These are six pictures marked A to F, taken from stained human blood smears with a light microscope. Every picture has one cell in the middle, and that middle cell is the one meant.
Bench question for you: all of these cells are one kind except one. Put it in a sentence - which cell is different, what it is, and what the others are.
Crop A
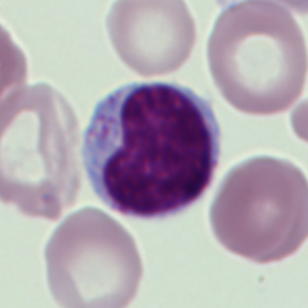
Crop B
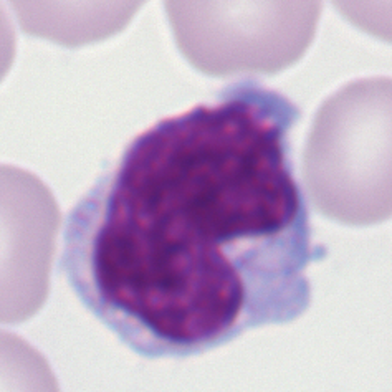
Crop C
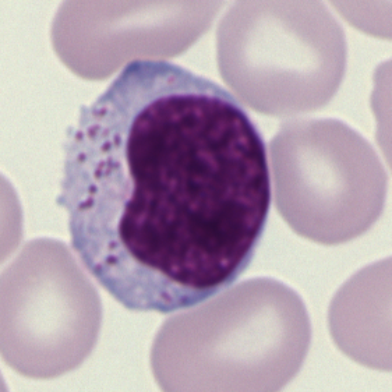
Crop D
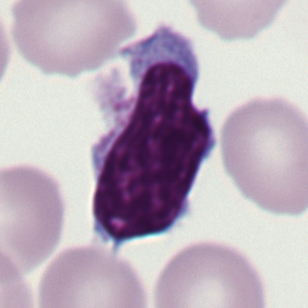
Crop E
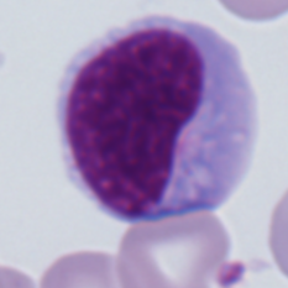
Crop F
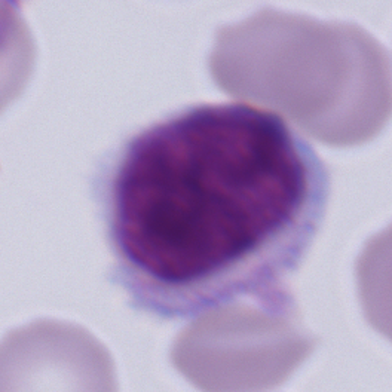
Crop C is the one to flag: it is a large granular lymphocyte, and the rest show typical lymphocytes.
